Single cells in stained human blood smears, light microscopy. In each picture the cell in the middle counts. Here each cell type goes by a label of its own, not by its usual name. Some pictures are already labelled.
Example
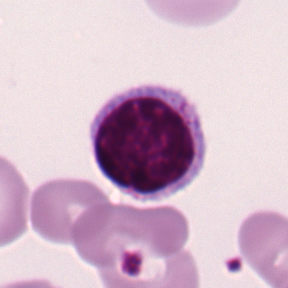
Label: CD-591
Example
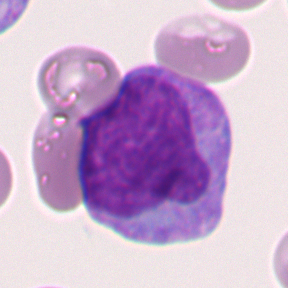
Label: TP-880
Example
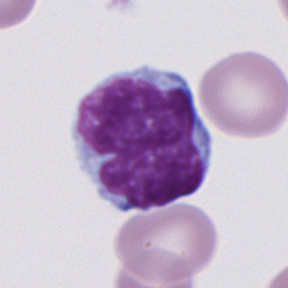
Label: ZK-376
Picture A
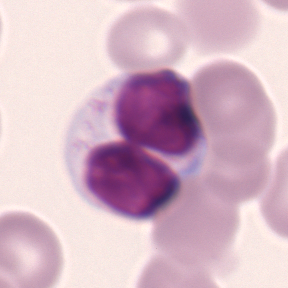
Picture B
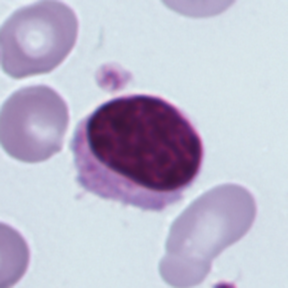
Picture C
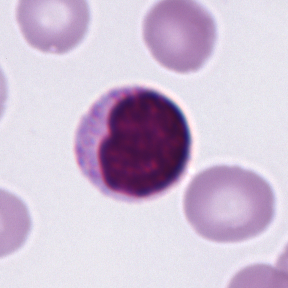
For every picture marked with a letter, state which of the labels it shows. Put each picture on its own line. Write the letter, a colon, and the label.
A: CD-591
B: CD-591
C: CD-591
